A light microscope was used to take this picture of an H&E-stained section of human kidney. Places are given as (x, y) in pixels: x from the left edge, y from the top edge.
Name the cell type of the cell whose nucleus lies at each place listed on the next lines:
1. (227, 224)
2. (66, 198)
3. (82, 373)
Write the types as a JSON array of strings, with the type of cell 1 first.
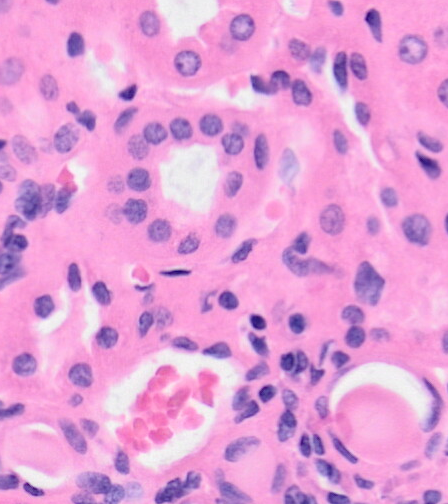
["collecting duct cell", "endothelial cell", "loop of Henle or distal tubule cell"]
